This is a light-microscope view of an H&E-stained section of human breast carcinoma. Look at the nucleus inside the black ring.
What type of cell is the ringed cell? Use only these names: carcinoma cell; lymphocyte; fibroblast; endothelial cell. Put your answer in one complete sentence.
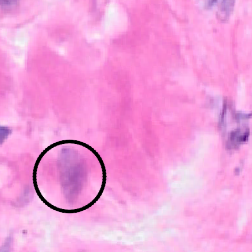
Just put down that the ringed cell is a fibroblast.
